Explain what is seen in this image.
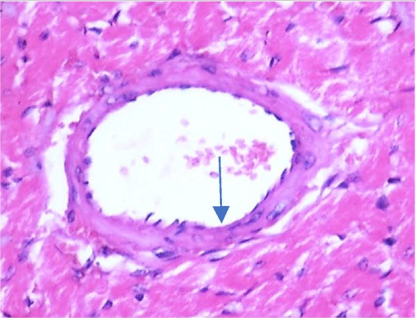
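This is a small coronary artery cut in cross-section, lying within pink cardiac muscle. Its wall is a uniform pink ring with elongated dark nuclei, and the inner surface is covered by a thin, continuous endothelial lining. The lumen is wide and open, holding a small cluster of red blood cells. A narrow clear space separates the vessel's outer layer from the surrounding muscle fibres.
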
